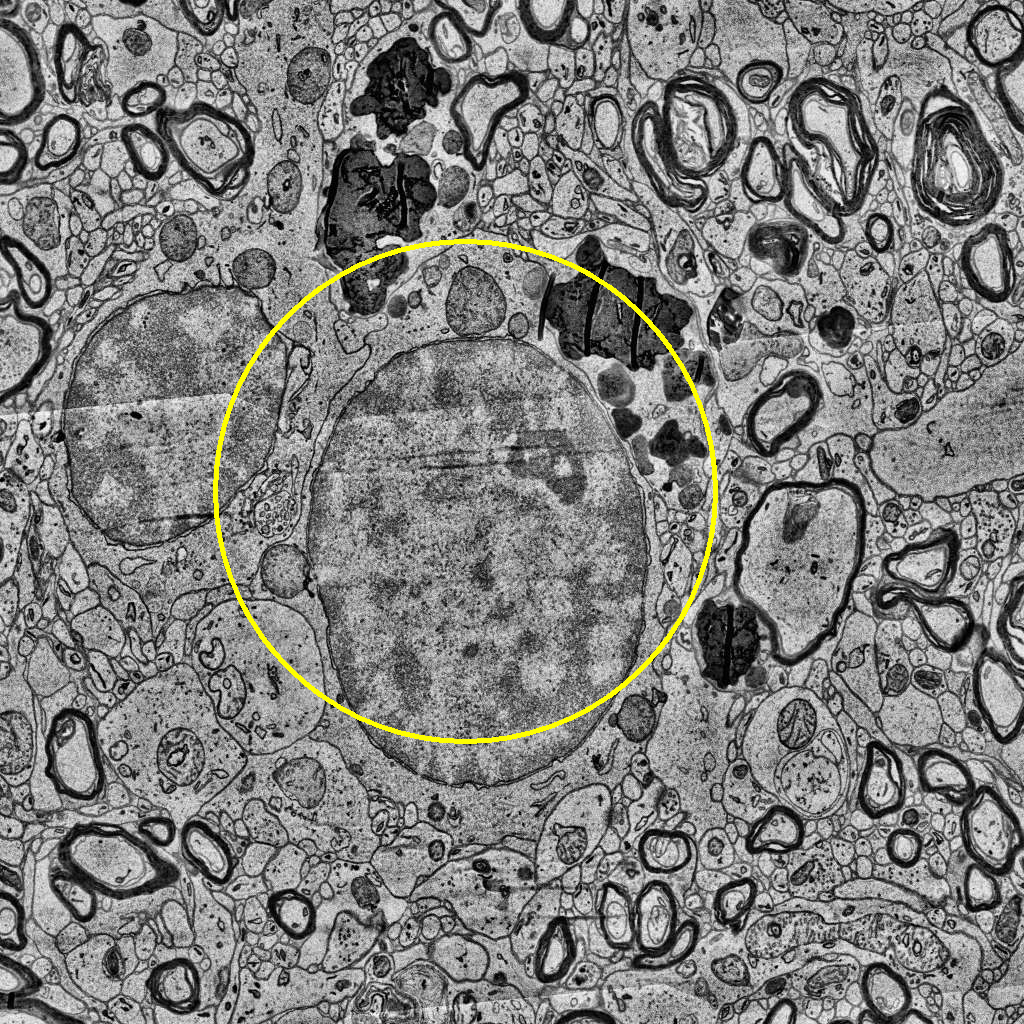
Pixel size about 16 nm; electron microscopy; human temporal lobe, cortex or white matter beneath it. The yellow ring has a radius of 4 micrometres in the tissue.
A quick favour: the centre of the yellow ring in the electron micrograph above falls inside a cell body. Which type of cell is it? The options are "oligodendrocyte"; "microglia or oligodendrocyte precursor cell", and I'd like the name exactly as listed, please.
oligodendrocyte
